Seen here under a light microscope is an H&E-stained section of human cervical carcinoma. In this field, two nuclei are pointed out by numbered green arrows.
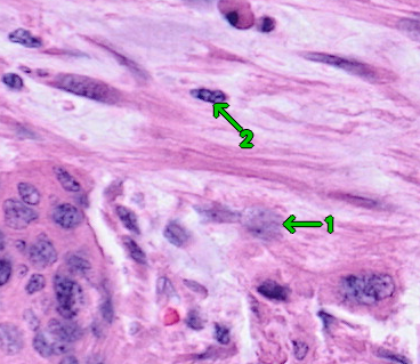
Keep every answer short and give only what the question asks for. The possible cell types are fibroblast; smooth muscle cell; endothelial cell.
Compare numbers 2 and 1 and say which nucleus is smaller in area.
2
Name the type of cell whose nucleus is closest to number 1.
fibroblast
